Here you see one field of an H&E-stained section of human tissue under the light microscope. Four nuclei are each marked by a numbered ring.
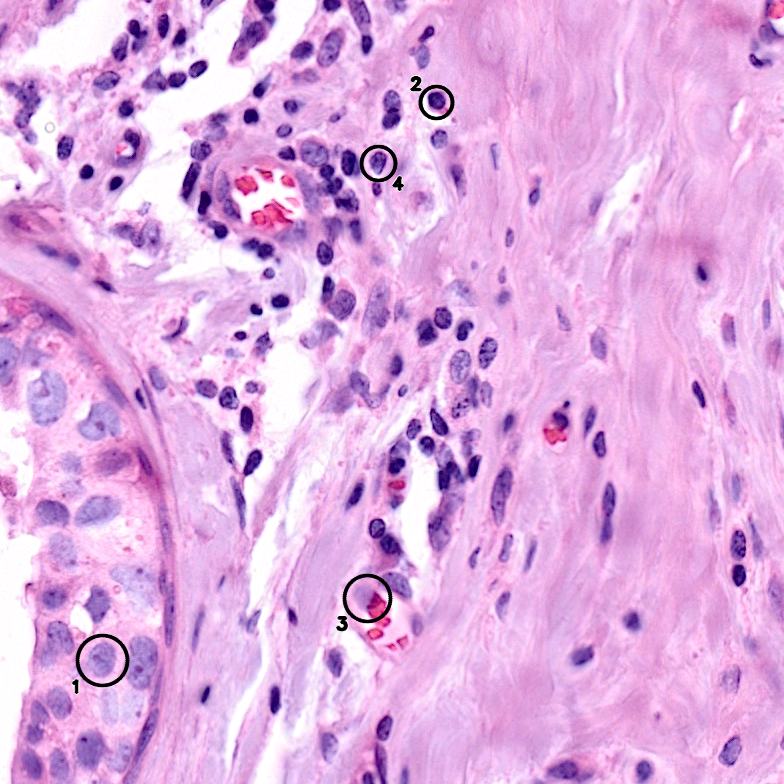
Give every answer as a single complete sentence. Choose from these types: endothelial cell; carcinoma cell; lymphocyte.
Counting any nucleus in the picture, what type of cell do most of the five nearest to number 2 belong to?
The majority of the five nuclei closest to number 2 belong to lymphocytes.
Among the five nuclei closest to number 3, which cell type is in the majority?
Endothelial cells make up most of the five nuclei closest to number 3.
